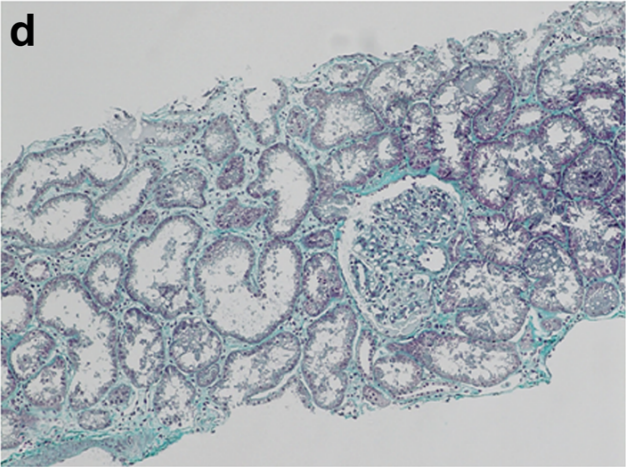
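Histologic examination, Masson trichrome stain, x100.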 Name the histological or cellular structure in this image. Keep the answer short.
renal tubules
